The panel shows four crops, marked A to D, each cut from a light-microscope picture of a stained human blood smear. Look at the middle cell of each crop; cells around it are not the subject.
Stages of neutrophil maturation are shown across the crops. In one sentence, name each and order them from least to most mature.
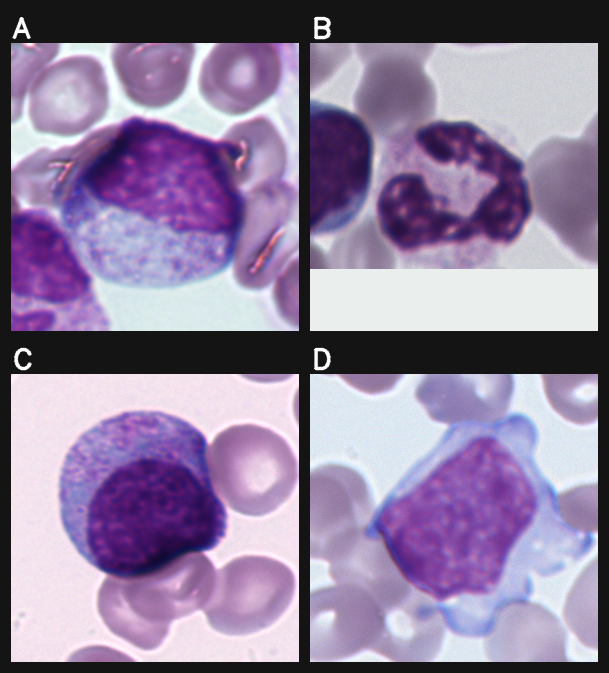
From least to most mature, the cells come in the order crop D (a myeloblast), crop C (a promyelocyte), crop A (a myelocyte) and crop B (a segmented neutrophil).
